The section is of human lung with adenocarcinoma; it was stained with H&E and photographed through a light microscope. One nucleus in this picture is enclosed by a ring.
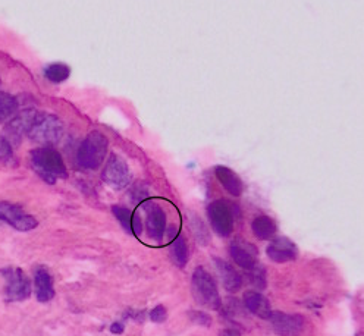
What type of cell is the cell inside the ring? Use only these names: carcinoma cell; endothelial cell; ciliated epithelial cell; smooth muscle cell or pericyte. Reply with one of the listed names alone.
ciliated epithelial cell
